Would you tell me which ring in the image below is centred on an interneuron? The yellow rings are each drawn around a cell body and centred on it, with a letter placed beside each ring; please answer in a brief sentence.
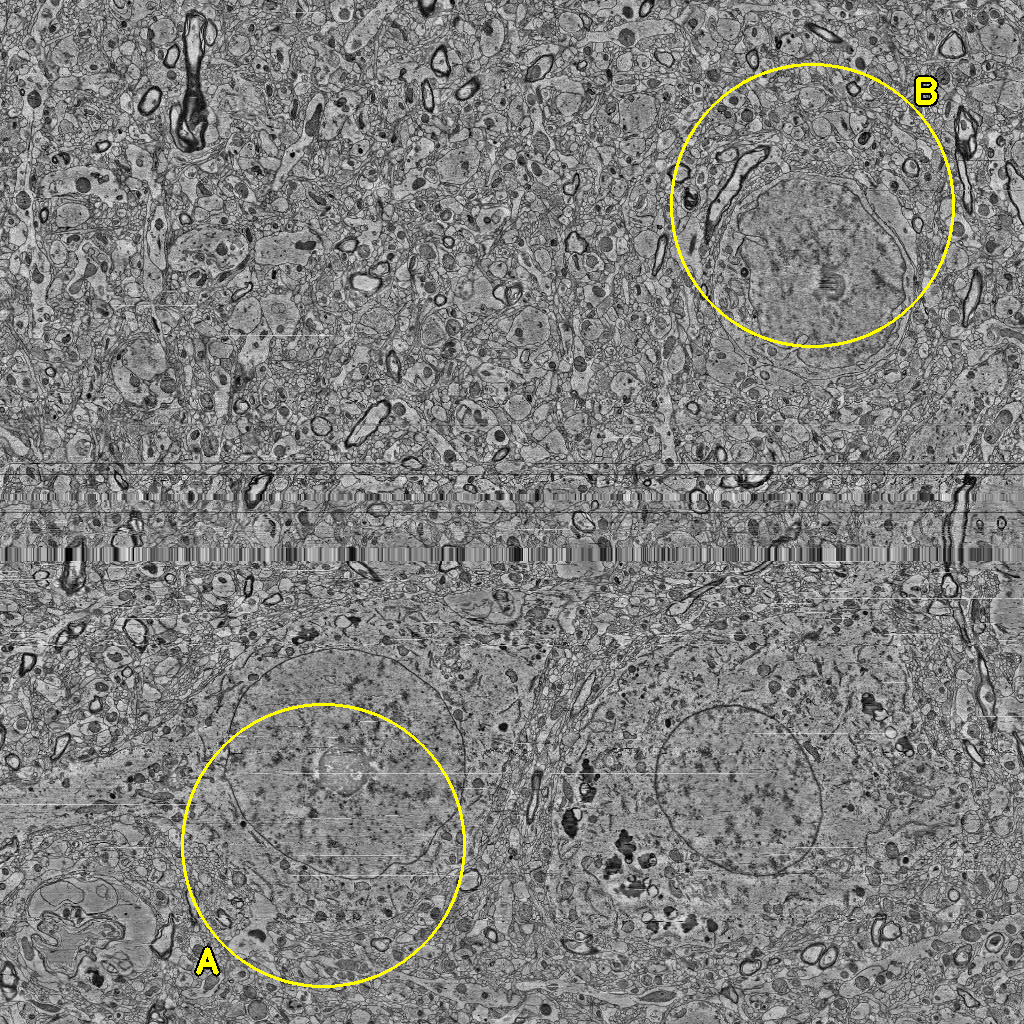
Ring B is centred on it.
